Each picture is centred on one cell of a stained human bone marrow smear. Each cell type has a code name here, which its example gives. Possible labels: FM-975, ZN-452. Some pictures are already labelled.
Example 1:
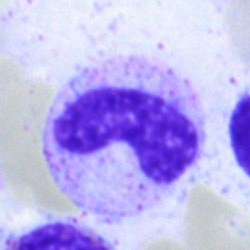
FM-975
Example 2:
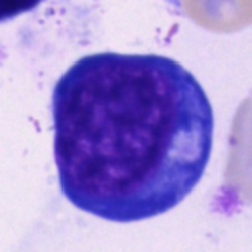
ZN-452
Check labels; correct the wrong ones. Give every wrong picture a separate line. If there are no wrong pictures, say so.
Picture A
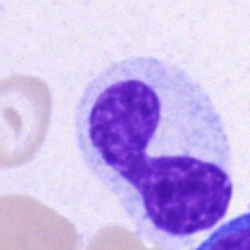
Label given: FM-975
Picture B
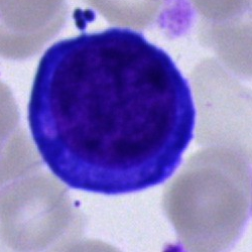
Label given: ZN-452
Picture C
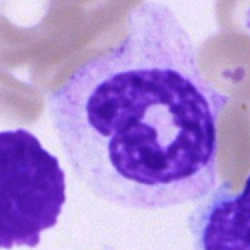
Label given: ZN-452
C: FM-975, not ZN-452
